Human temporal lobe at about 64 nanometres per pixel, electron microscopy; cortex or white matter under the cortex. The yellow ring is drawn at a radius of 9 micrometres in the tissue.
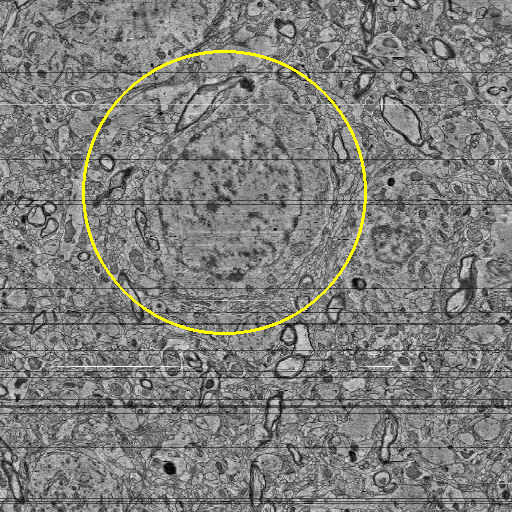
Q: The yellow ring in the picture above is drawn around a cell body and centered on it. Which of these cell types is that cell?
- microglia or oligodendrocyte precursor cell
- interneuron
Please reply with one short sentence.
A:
The cell body at the ring's center belongs to an interneuron.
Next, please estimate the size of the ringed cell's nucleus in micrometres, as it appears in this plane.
The nucleus is approximately 11 micrometers long by 9 micrometers wide in this plane.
